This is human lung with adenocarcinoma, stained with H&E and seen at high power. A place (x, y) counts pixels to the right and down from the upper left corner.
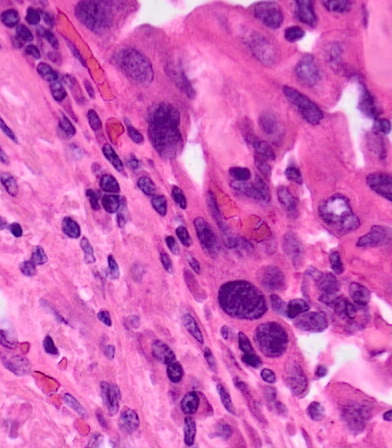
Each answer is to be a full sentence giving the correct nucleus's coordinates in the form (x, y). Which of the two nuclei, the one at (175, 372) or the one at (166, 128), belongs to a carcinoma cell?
Identified as belonging to a carcinoma cell is the nucleus at (166, 128).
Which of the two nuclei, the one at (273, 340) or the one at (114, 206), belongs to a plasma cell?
The nucleus at (114, 206) is attributed to a plasma cell, unlike the other nucleus.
